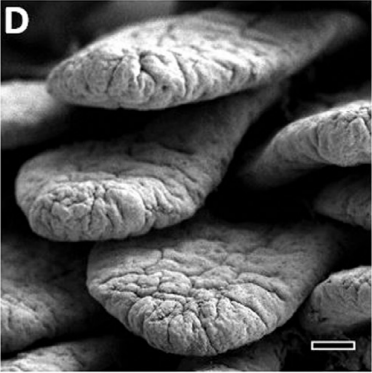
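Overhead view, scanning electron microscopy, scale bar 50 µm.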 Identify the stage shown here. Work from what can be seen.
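Leaf-shaped structures. Projections are broad and flattened. Surfaces show a fine network of wrinkles. Projections overlap one another like leaves.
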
